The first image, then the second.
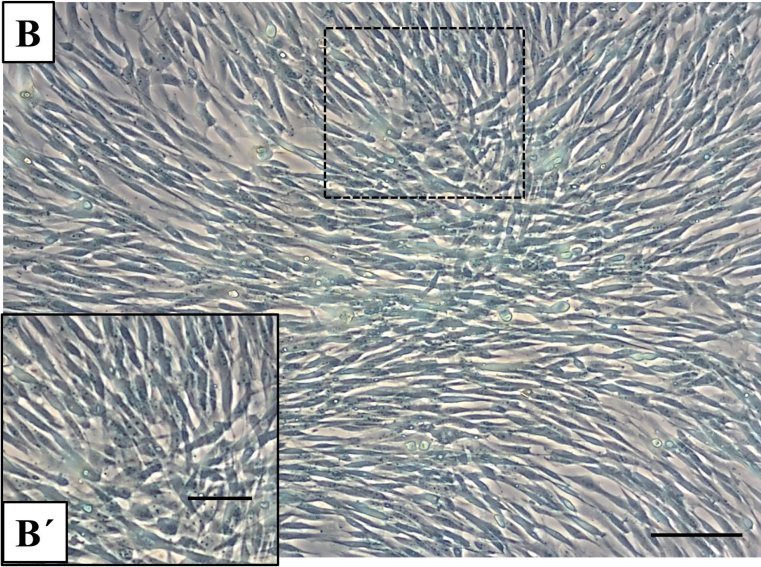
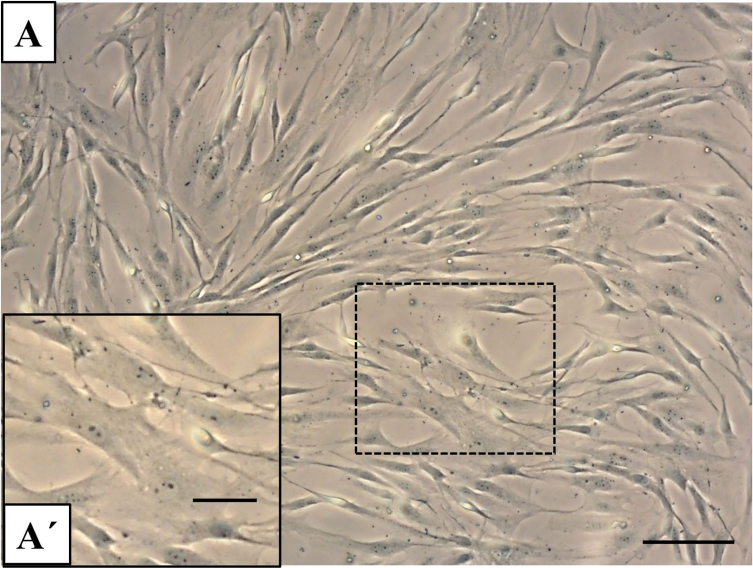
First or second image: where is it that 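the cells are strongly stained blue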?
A: the first image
